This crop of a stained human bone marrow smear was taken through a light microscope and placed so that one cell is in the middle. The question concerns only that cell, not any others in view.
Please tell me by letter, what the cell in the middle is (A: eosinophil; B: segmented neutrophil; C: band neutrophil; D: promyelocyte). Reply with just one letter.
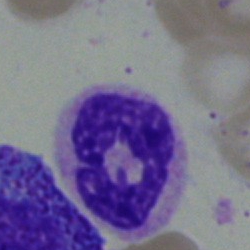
C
